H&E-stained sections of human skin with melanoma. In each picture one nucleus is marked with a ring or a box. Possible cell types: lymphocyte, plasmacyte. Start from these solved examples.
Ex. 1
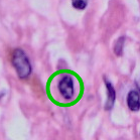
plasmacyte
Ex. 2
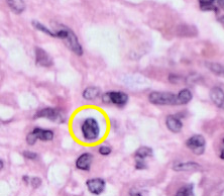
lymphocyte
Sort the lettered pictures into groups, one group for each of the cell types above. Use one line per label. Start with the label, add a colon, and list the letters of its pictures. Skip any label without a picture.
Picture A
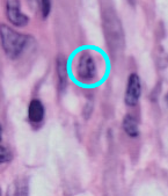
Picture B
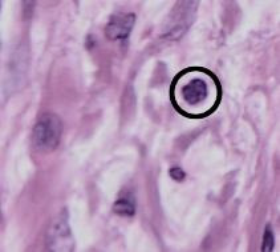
lymphocyte: B
plasmacyte: A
